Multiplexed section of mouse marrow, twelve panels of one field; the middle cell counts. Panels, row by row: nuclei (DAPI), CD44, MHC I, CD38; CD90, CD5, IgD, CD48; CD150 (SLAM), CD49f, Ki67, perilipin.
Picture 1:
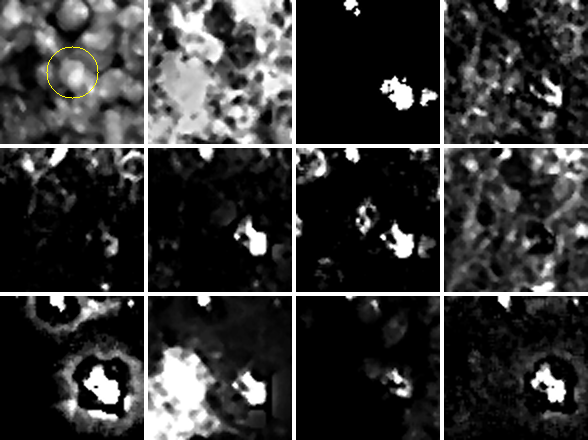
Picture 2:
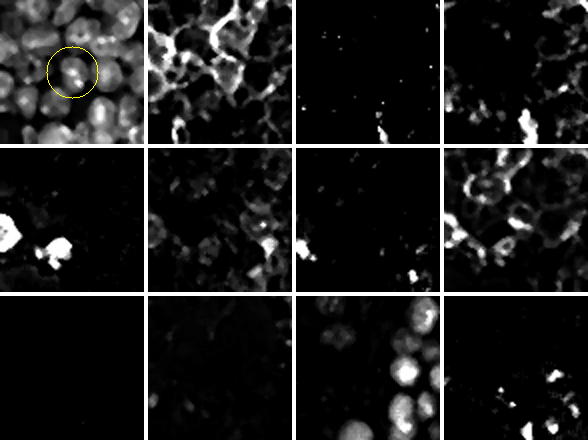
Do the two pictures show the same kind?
No: a B cell, then a monocyte.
